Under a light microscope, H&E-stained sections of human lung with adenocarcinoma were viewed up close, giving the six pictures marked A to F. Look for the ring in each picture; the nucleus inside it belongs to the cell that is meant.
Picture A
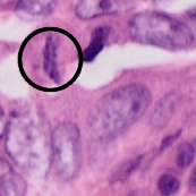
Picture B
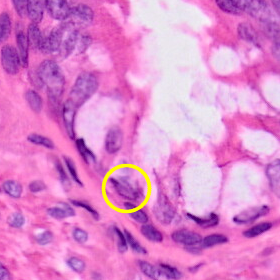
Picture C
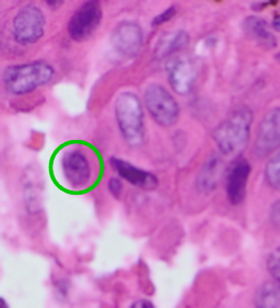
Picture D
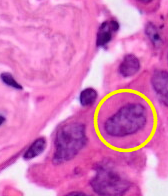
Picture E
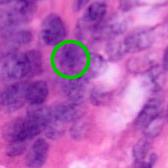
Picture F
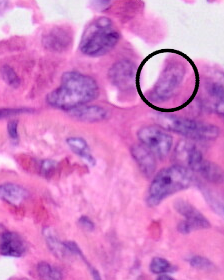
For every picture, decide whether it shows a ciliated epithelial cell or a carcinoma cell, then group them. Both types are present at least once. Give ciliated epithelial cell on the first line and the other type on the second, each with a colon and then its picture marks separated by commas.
ciliated epithelial cell: B, E
carcinoma cell: A, C, D, F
